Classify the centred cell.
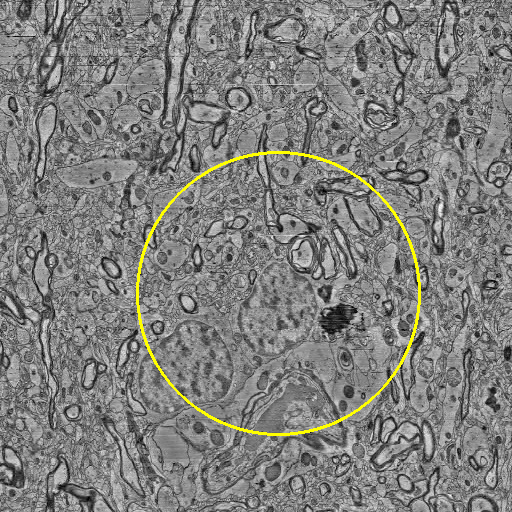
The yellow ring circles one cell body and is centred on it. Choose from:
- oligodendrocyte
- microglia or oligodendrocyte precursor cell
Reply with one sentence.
The ring is centred on an oligodendrocyte.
